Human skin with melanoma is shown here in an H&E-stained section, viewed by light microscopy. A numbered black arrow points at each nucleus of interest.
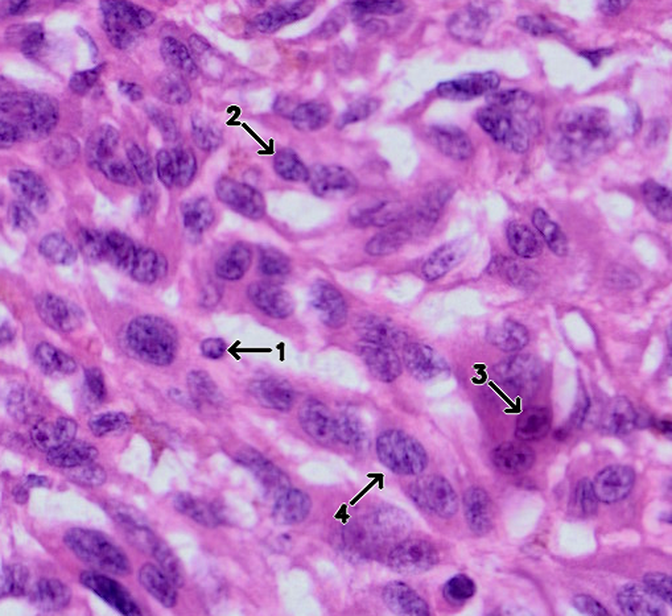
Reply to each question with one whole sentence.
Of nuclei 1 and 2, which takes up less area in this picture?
The smaller nucleus is 1, and 2 covers roughly 2 times its area.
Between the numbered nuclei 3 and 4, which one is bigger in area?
Of the two, number 4 is bigger and takes up about 2 times the area of number 3.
